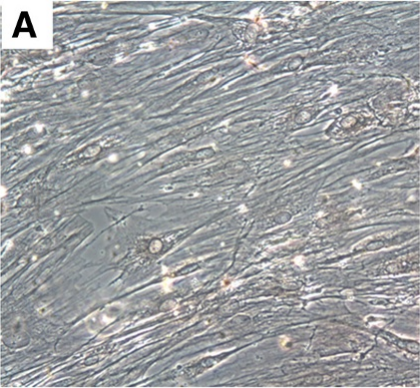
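The cells are long and spindle-shaped, with thin tapering ends. They lie side by side in roughly parallel streams that sweep across the field.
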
